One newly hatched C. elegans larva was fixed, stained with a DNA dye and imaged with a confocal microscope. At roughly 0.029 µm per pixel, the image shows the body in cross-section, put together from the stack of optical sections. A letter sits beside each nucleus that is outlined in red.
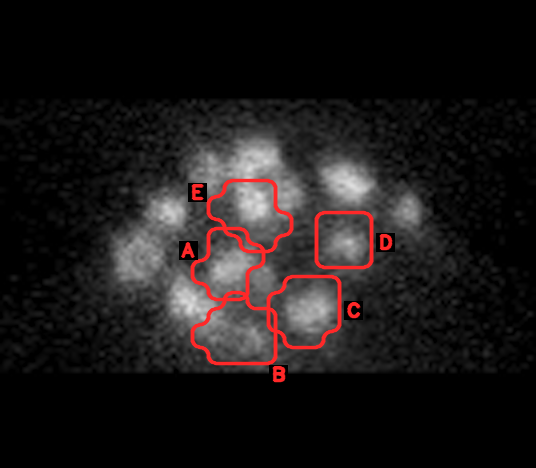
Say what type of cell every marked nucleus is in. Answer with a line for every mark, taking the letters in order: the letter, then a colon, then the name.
A: neuron
B: seam cell
C: glial cell (sheath or socket)
D: pharyngeal epithelial cell
E: neuron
